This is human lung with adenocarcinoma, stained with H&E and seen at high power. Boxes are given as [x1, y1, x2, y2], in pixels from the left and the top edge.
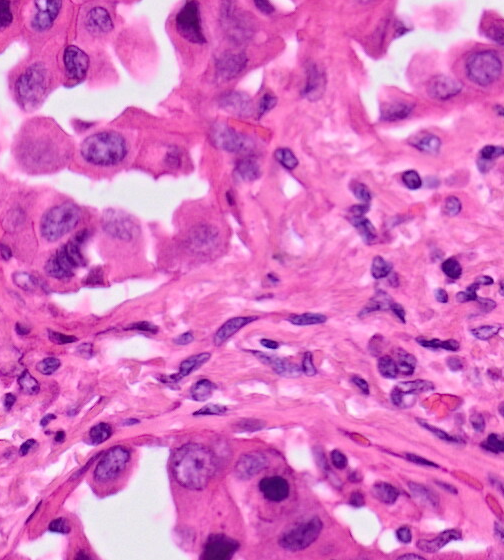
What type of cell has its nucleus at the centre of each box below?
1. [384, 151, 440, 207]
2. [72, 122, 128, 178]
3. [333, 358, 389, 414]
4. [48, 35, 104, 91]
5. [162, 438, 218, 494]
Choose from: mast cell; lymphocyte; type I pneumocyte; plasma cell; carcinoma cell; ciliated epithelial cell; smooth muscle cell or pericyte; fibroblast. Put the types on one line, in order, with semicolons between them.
lymphocyte; carcinoma cell; plasma cell; carcinoma cell; carcinoma cell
